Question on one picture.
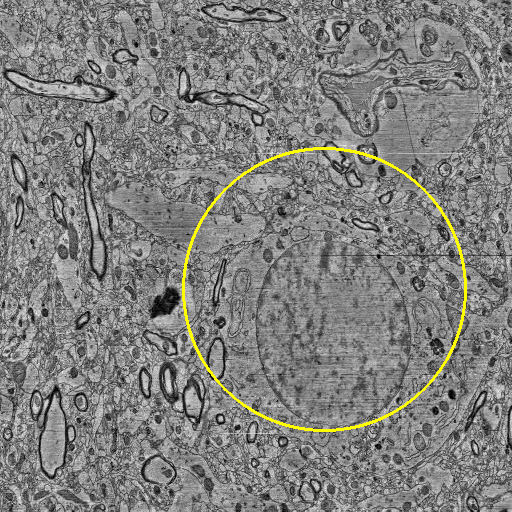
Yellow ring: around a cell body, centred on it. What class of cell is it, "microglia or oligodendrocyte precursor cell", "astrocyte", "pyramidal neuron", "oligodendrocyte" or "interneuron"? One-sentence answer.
This is an interneuron, the cell the ring is centred on.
